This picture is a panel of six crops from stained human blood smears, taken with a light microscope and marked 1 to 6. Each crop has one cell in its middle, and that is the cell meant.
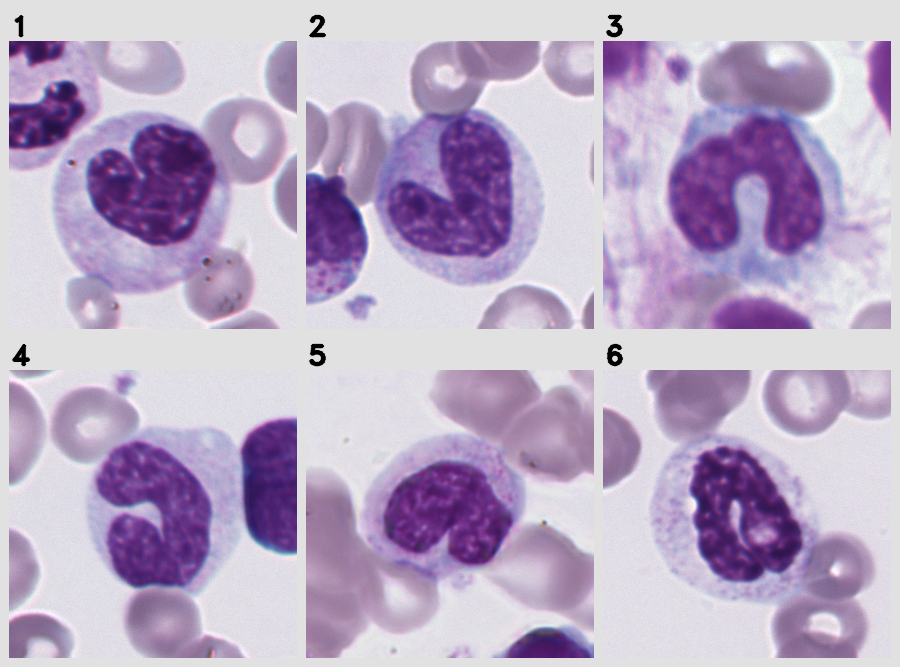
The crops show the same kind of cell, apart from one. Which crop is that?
3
